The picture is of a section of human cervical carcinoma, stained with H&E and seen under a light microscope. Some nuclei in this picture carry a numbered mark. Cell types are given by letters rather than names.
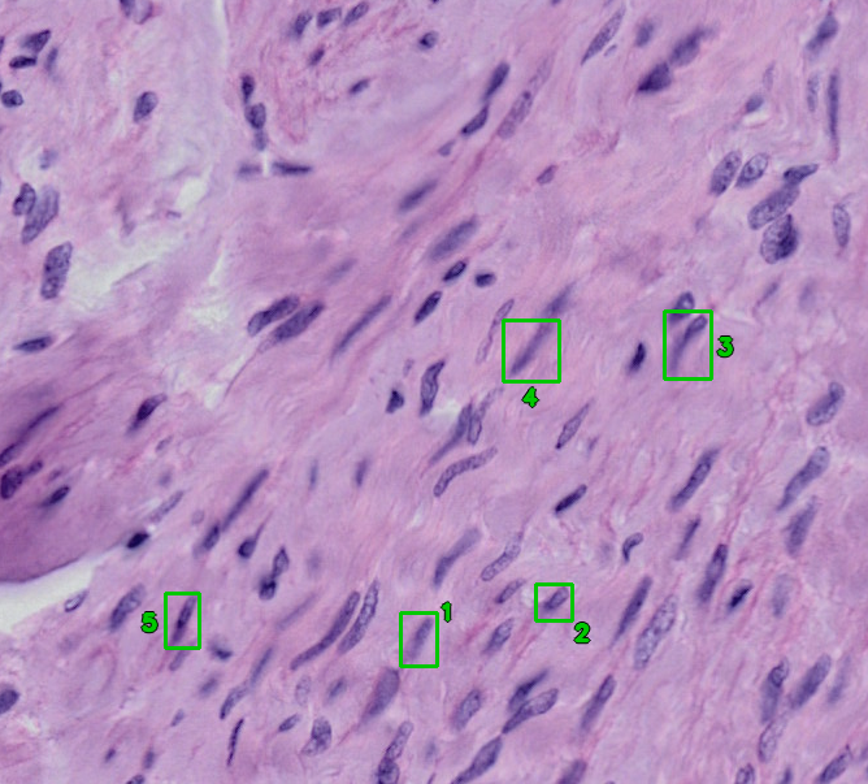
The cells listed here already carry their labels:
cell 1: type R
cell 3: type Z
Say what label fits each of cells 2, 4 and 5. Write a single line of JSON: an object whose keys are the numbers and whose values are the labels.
{"2": "type R", "4": "type Z", "5": "type Z"}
